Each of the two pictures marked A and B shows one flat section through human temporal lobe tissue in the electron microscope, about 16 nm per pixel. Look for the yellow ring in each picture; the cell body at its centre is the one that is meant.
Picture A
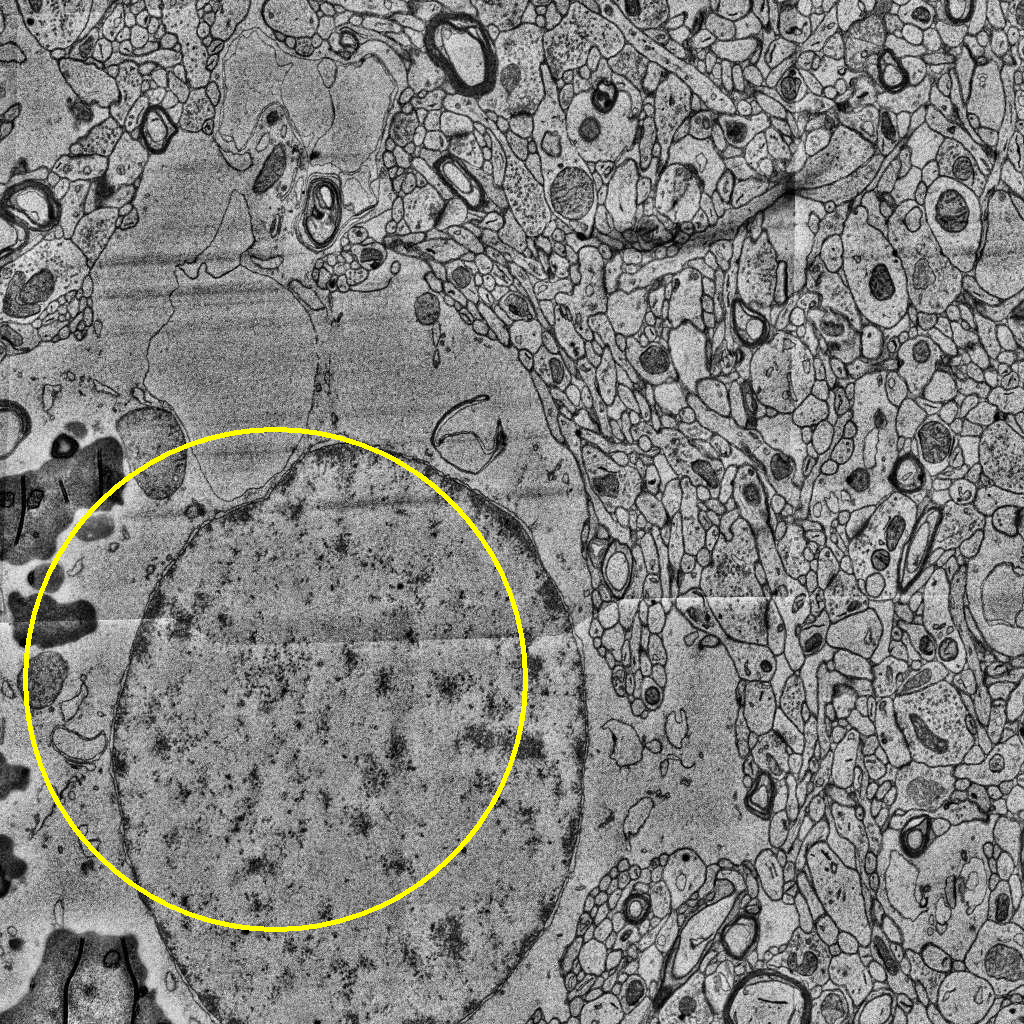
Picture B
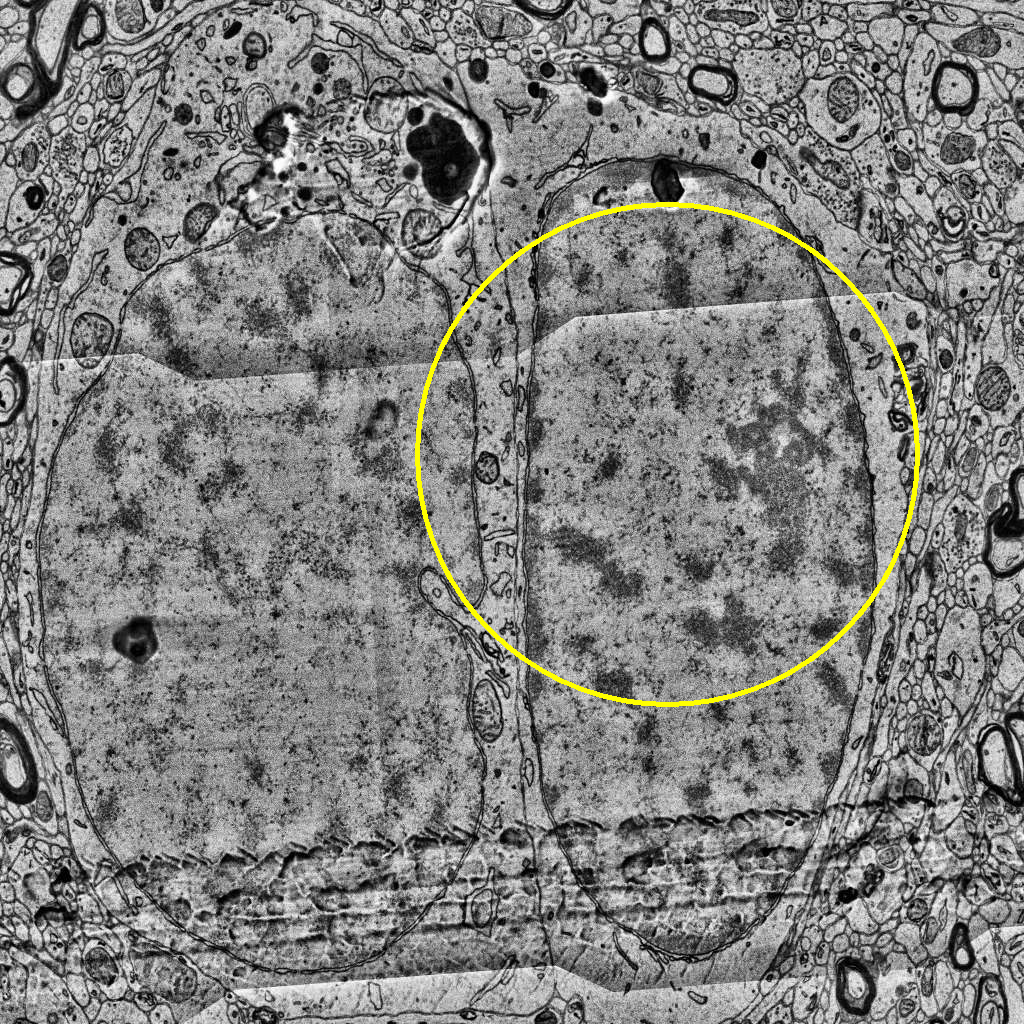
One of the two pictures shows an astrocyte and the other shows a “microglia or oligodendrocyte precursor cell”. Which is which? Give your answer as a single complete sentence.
In picture A the cell is an astrocyte; in picture B, a “microglia or oligodendrocyte precursor cell”.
